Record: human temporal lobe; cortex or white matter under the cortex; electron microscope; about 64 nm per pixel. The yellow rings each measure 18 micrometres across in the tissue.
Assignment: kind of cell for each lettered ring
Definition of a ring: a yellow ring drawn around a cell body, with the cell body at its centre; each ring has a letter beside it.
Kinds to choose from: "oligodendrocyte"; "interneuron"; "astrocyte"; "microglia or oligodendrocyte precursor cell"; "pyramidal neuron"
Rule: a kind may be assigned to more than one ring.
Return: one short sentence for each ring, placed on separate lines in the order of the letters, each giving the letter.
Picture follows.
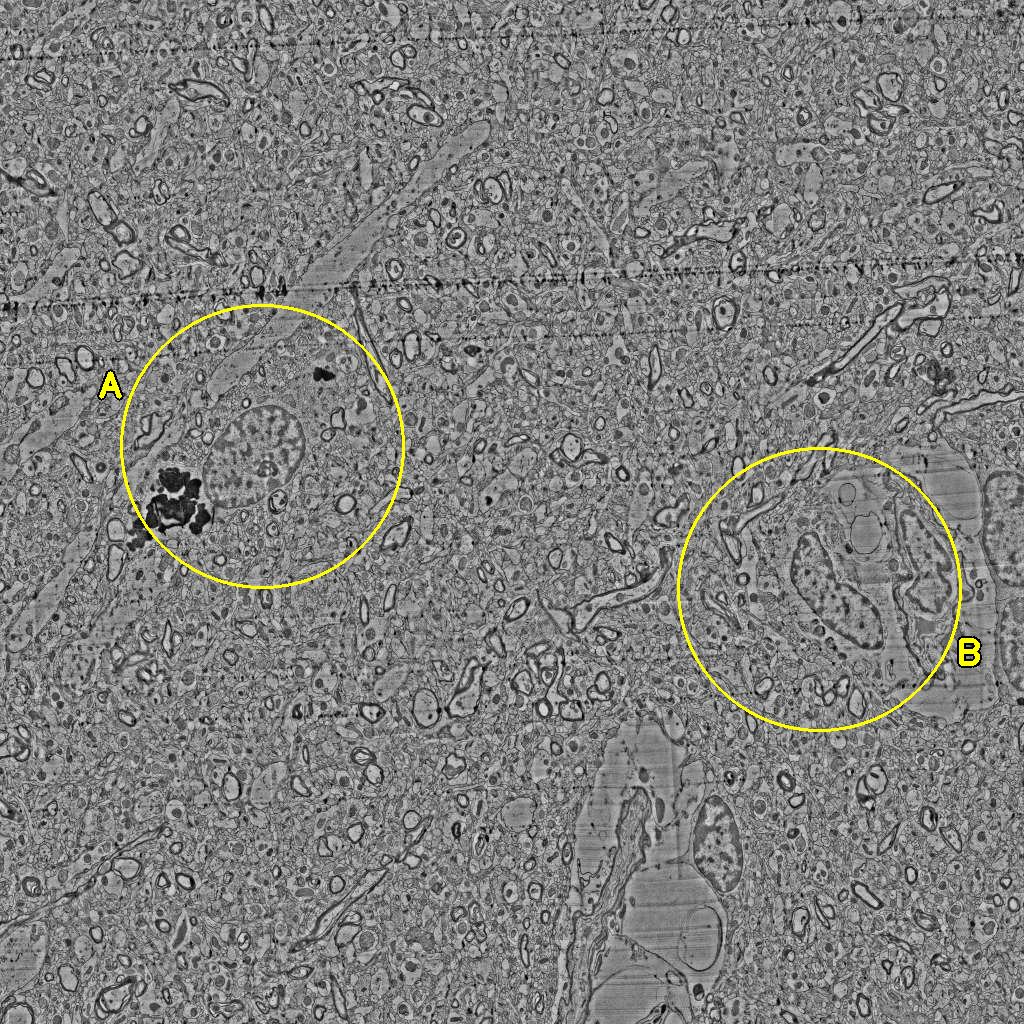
The ring marked A is centred on an oligodendrocyte.
The ring marked B is centred on a microglial cell or oligodendrocyte precursor cell.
